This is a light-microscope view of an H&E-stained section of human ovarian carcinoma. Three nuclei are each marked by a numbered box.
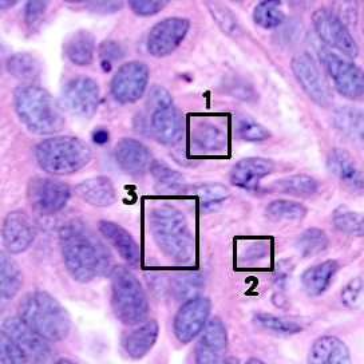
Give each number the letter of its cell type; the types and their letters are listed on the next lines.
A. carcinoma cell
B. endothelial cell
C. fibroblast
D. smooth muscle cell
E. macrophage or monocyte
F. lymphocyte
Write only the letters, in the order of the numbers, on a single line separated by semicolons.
C; C; A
